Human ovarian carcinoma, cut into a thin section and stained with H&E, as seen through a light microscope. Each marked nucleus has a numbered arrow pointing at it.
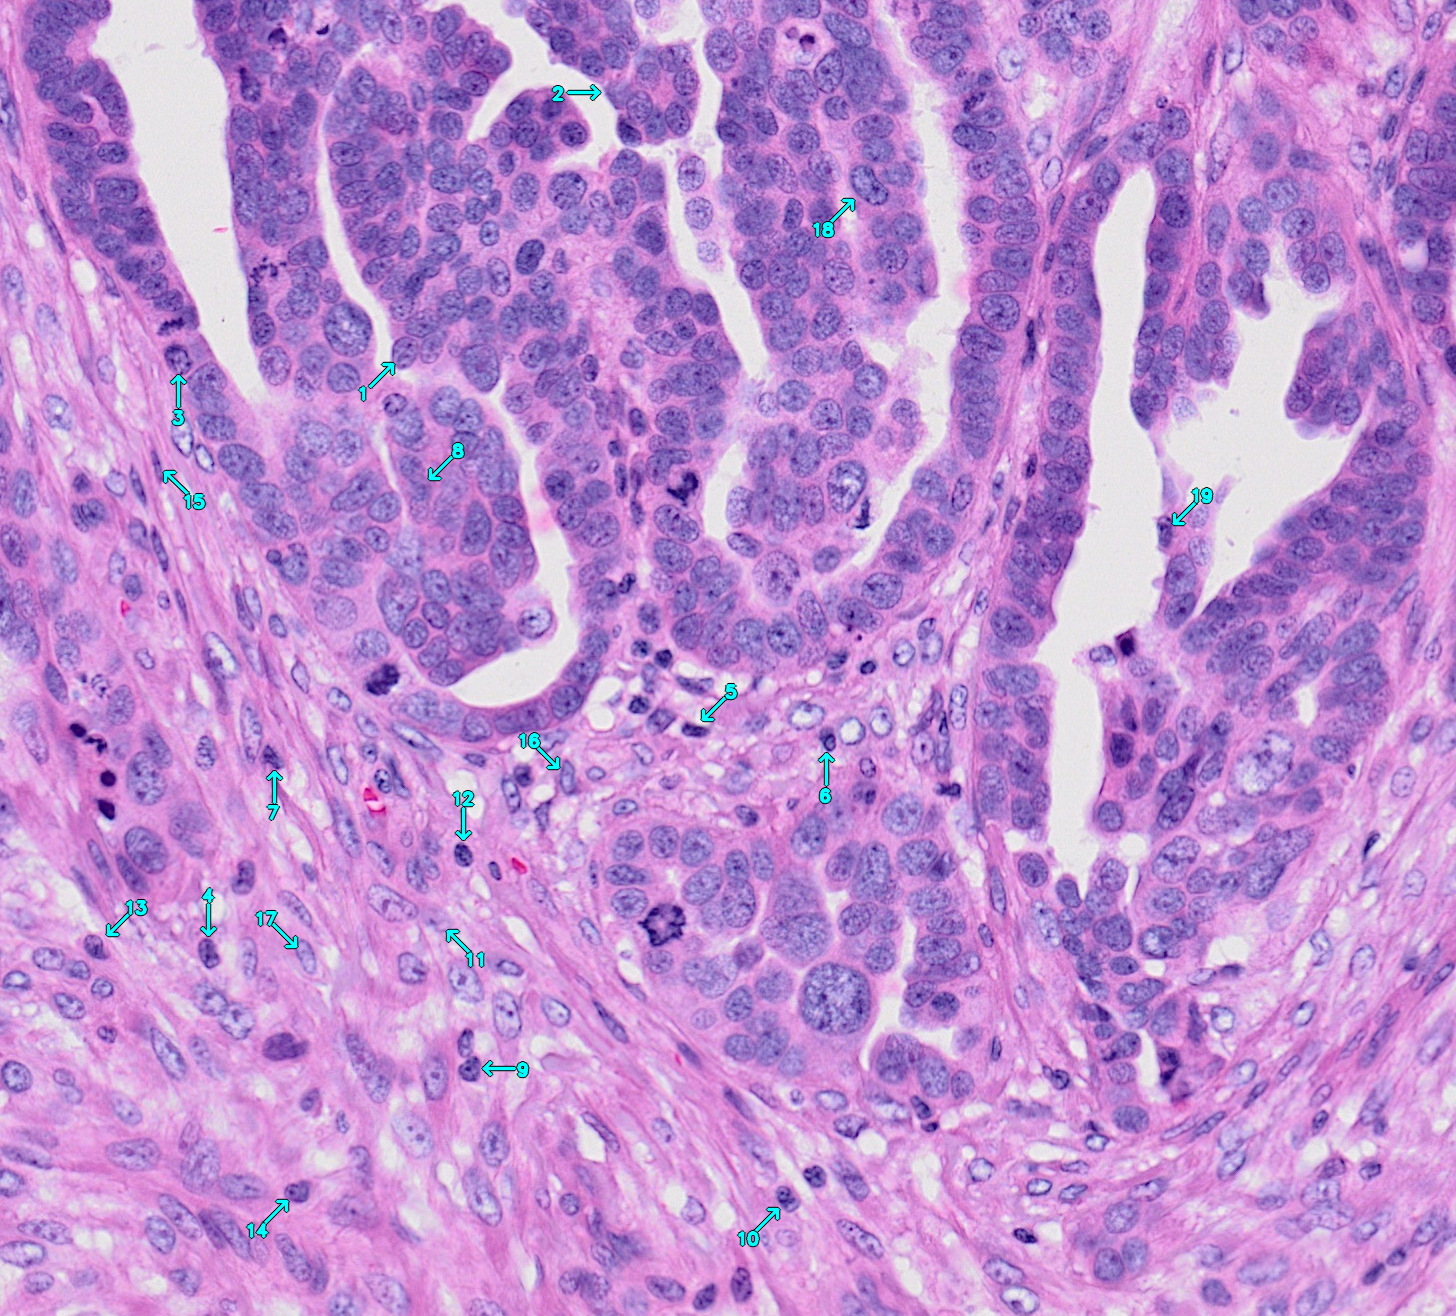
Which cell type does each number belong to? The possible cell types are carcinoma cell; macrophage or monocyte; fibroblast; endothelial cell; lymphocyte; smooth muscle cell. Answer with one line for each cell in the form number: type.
1: carcinoma cell
2: carcinoma cell
3: macrophage or monocyte
4: lymphocyte
5: lymphocyte
6: lymphocyte
7: macrophage or monocyte
8: carcinoma cell
9: lymphocyte
10: lymphocyte
11: fibroblast
12: lymphocyte
13: macrophage or monocyte
14: macrophage or monocyte
15: fibroblast
16: fibroblast
17: fibroblast
18: carcinoma cell
19: macrophage or monocyte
